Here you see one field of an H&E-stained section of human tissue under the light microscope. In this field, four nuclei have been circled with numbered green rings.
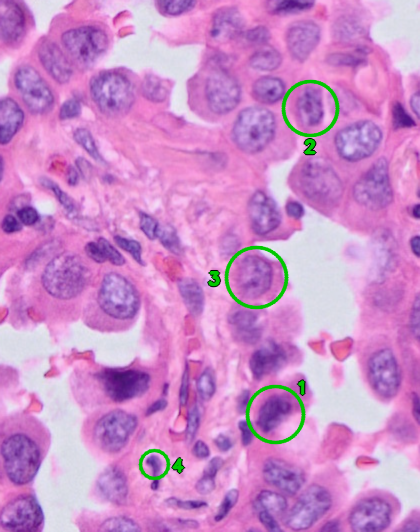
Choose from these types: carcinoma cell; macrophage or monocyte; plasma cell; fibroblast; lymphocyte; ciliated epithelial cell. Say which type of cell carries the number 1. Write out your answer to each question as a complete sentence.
Of the numbered cells, the one labelled 1 is a carcinoma cell.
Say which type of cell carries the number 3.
The cell whose nucleus carries the number 3 is a carcinoma cell.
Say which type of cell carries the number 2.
In this section, the cell numbered 2 is a carcinoma cell.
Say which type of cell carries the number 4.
The cell to which the number 4 is assigned is a lymphocyte.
